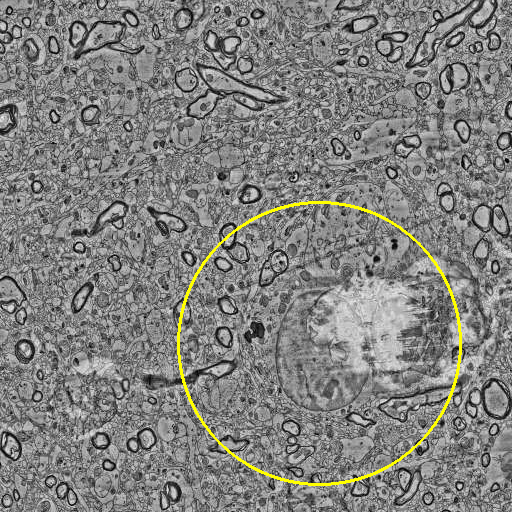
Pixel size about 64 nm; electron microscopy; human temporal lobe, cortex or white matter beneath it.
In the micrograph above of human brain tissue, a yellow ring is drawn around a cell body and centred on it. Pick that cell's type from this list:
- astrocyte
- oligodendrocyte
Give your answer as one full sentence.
Going by the list, an oligodendrocyte is the cell on which the yellow ring is centred.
